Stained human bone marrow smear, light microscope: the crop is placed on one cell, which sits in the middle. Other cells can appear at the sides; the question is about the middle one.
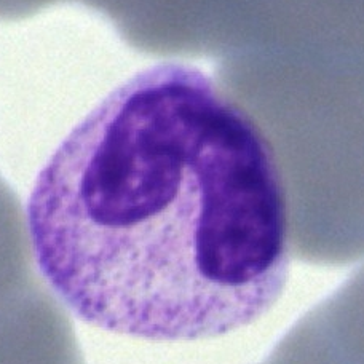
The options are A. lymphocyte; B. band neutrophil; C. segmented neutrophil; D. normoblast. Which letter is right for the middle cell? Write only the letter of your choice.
B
